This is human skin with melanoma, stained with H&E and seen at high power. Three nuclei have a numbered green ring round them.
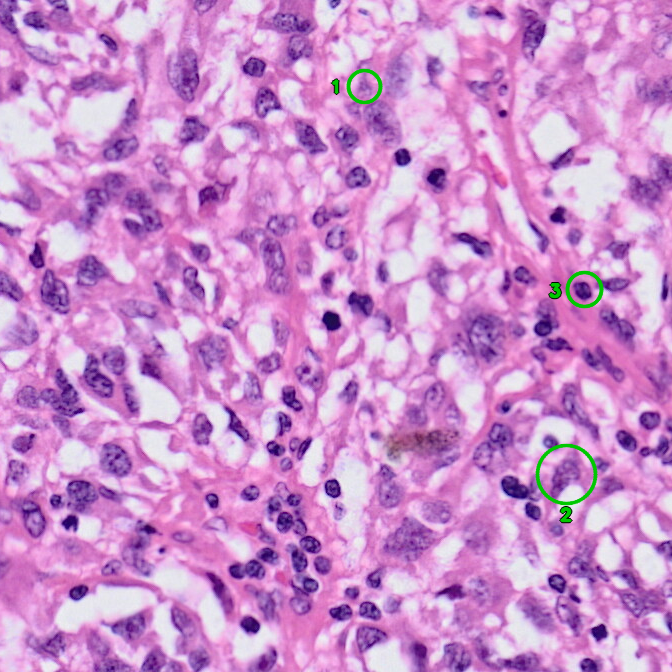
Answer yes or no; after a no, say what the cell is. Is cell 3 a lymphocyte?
Yes.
